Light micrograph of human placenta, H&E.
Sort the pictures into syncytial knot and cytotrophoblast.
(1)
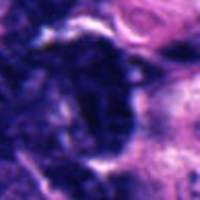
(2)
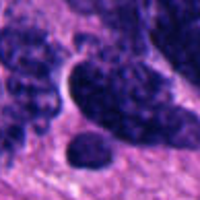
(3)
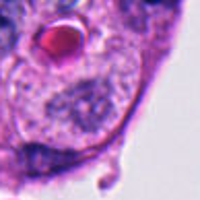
Syncytial knots: 1, 2
Cytotrophoblasts: 3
